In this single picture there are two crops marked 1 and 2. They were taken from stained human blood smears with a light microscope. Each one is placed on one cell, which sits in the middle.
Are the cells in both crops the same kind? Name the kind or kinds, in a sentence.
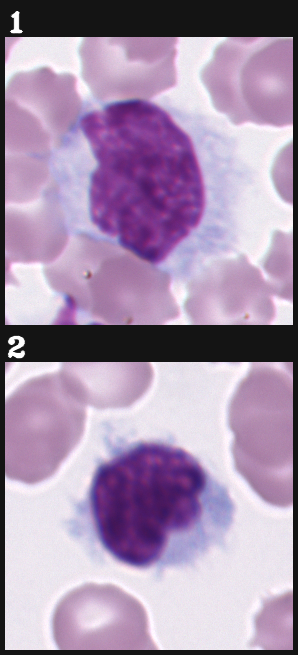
Yes, the cells placed at the centre of both crops are hairy cells.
